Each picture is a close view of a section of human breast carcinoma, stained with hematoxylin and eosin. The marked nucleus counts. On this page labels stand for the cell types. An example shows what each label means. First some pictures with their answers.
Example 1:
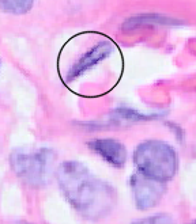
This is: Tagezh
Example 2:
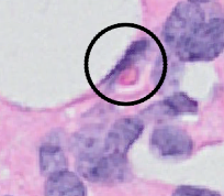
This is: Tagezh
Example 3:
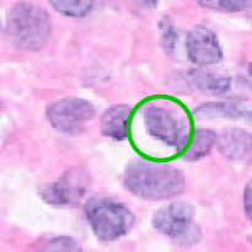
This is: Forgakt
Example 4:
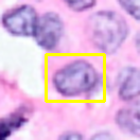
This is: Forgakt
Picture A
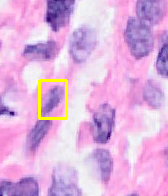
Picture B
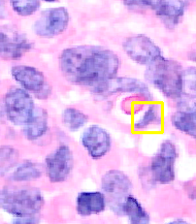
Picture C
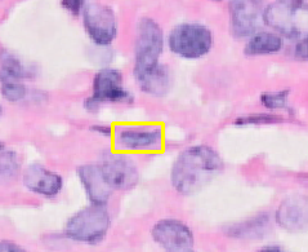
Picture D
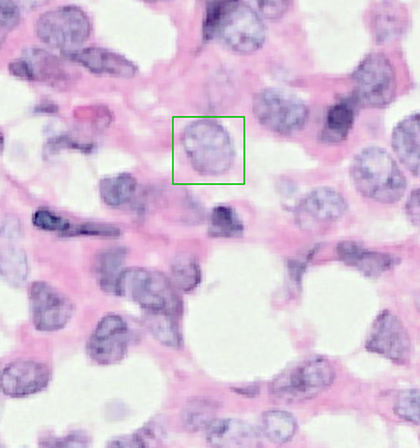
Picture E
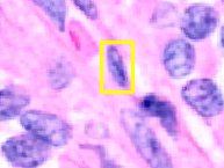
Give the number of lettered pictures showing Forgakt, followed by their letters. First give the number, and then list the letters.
Count: 1 (D)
